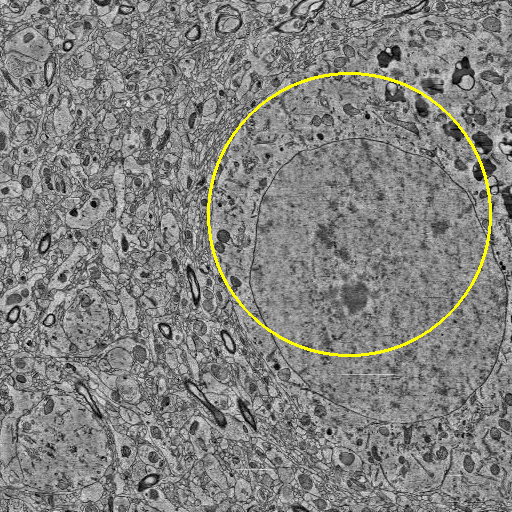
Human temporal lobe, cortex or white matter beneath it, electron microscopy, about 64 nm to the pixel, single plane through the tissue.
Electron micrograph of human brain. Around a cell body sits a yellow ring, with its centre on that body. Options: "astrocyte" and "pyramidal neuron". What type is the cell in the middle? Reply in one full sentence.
The cell sitting at the centre of the yellow ring is a pyramidal neuron.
